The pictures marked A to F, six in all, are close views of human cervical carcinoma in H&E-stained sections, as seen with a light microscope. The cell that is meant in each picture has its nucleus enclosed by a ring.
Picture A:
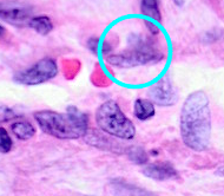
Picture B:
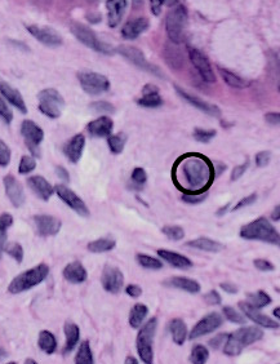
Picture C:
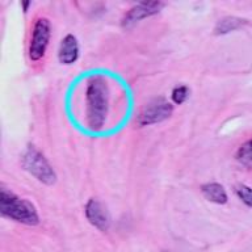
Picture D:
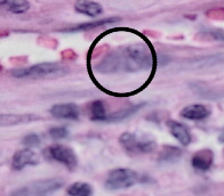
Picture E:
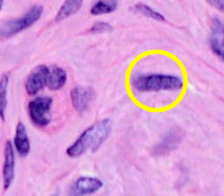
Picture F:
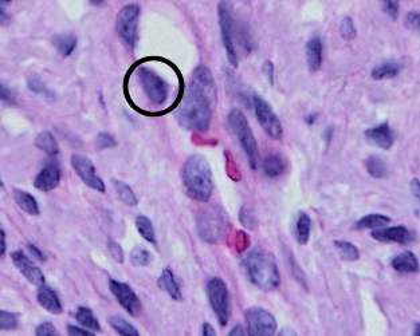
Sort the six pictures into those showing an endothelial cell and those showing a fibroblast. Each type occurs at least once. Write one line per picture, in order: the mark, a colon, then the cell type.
A: endothelial cell
B: endothelial cell
C: fibroblast
D: endothelial cell
E: fibroblast
F: endothelial cell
